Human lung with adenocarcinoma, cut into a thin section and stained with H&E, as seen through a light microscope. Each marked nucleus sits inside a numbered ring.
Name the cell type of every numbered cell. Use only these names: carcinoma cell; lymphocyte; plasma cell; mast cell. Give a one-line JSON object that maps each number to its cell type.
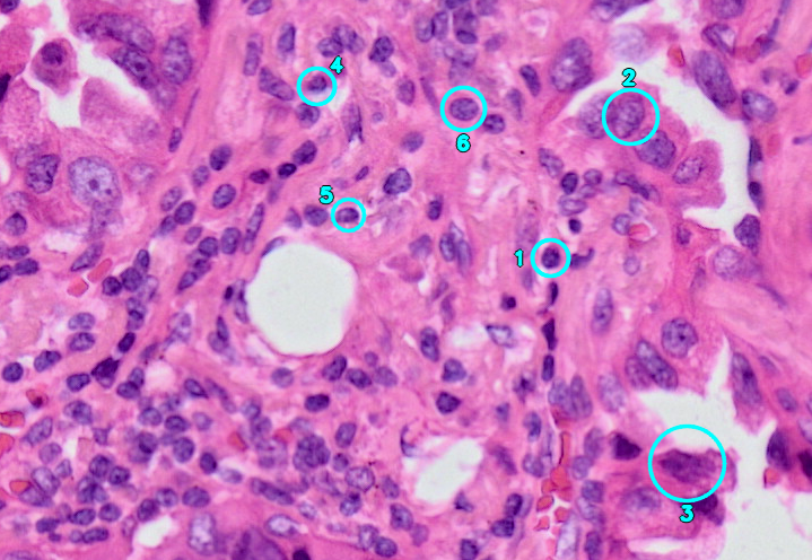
{"1": "lymphocyte", "2": "carcinoma cell", "3": "carcinoma cell", "4": "plasma cell", "5": "lymphocyte", "6": "mast cell"}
